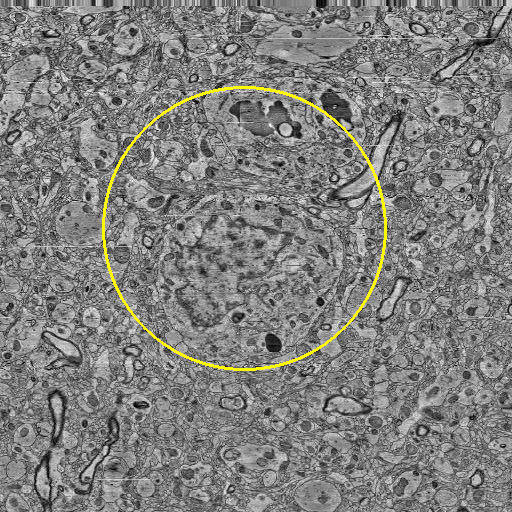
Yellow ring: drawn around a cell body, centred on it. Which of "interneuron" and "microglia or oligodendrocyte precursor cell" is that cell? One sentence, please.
That cell body is from an interneuron.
